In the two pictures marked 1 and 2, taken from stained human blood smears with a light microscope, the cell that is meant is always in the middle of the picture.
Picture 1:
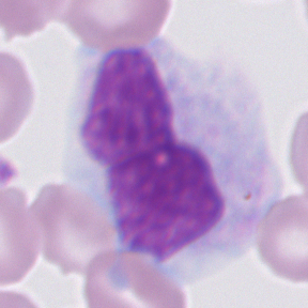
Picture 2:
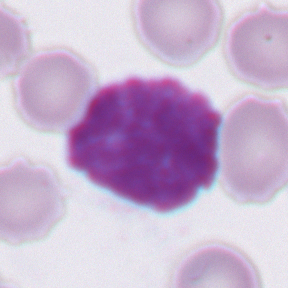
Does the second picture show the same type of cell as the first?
no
